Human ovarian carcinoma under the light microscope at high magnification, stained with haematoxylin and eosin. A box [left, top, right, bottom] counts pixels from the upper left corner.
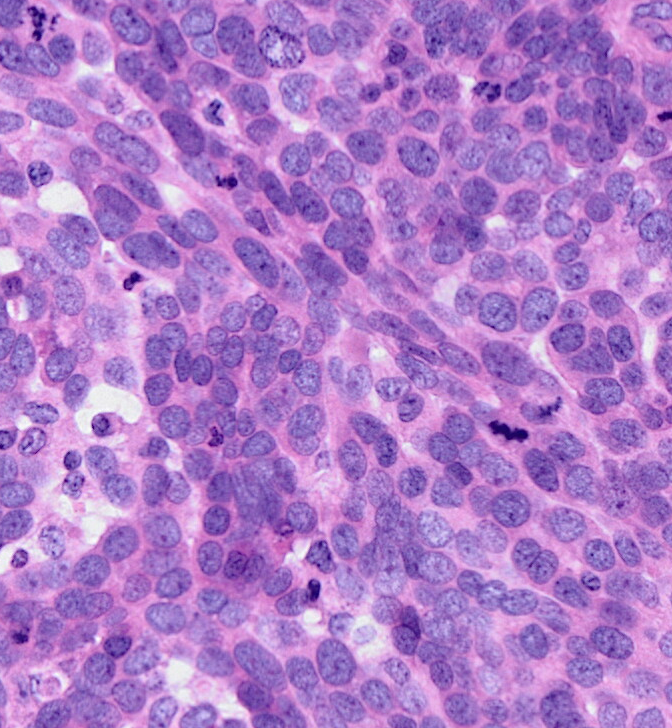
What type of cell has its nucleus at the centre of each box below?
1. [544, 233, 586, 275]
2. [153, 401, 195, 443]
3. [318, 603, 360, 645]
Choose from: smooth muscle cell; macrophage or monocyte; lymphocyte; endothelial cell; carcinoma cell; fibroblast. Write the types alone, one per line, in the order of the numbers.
carcinoma cell
carcinoma cell
macrophage or monocyte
